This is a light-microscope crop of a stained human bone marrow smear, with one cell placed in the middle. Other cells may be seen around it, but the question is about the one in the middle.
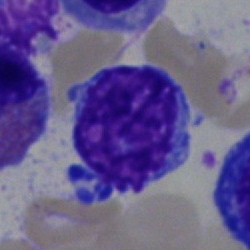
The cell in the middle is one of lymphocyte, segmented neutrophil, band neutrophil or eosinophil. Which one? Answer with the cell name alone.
lymphocyte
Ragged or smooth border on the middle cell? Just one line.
Around its circumference, the cell has an uneven edge, ragged or projecting in places.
